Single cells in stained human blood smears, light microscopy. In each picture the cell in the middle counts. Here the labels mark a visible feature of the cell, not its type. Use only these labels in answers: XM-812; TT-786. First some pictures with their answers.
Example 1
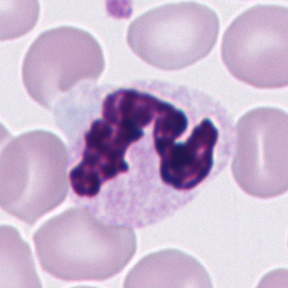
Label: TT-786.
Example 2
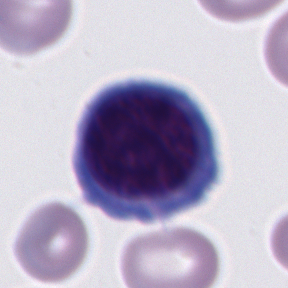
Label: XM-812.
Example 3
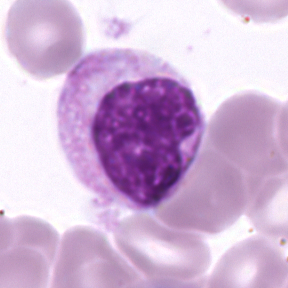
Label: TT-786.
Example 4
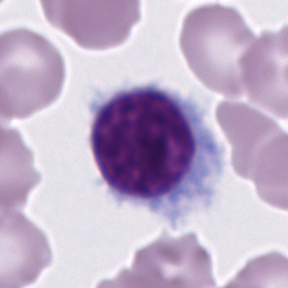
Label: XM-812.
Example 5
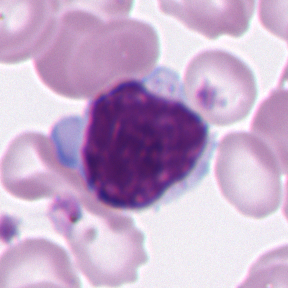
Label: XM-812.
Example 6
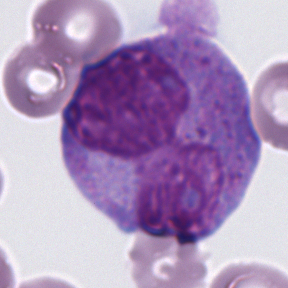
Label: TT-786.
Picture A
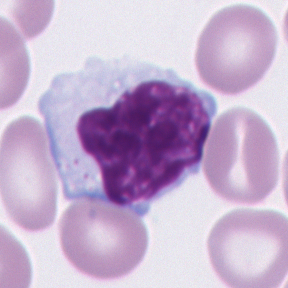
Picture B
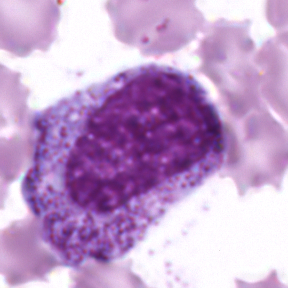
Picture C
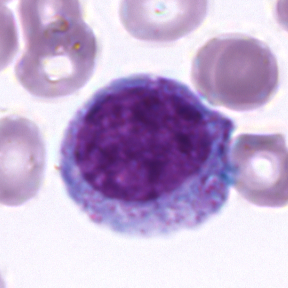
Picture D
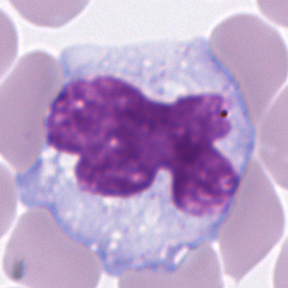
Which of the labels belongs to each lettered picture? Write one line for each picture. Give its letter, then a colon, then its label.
A: TT-786.
B: TT-786.
C: XM-812.
D: TT-786.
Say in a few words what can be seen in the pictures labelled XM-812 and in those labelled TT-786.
XM-812, scant cytoplasm; TT-786, abundant cytoplasm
